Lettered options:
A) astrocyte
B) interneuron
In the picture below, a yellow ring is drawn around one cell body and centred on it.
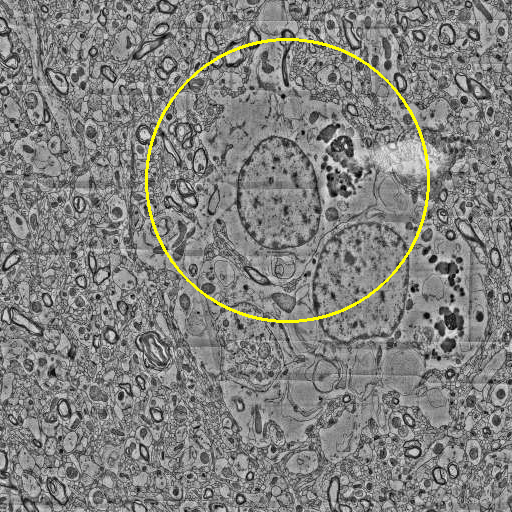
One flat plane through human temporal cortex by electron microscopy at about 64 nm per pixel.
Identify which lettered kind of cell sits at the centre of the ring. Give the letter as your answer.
A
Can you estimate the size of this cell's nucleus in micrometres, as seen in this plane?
In this plane, approximately 7 by 5 micrometers.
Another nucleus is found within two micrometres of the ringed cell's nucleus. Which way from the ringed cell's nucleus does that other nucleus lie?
The other nucleus lies to the lower right of it.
